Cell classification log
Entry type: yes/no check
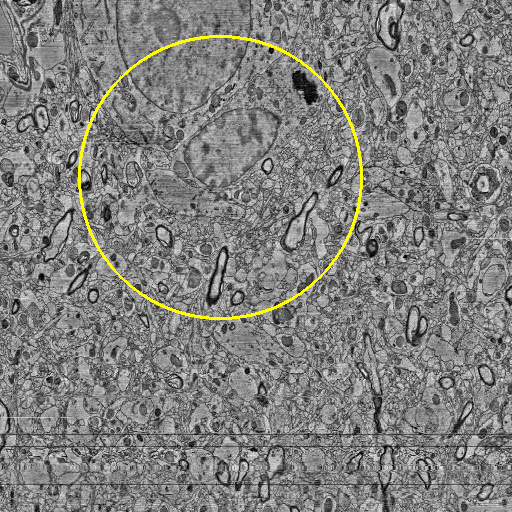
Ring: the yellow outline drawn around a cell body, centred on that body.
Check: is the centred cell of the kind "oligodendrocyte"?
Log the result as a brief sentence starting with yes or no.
Yes, the cell is of that kind.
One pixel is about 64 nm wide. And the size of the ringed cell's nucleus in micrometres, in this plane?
About 7 by 4 micrometers; the nucleus is clearly longer than it is wide in this plane.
